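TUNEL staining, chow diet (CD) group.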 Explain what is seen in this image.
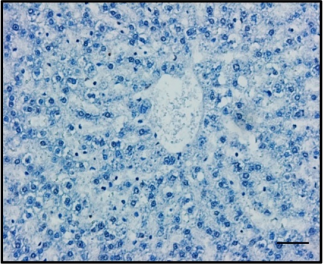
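Liver section with hepatocyte plates radiating from a central vessel, counterstained blue. Hepatocytes are polygonal with round blue nuclei, and no nuclei are stained black.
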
